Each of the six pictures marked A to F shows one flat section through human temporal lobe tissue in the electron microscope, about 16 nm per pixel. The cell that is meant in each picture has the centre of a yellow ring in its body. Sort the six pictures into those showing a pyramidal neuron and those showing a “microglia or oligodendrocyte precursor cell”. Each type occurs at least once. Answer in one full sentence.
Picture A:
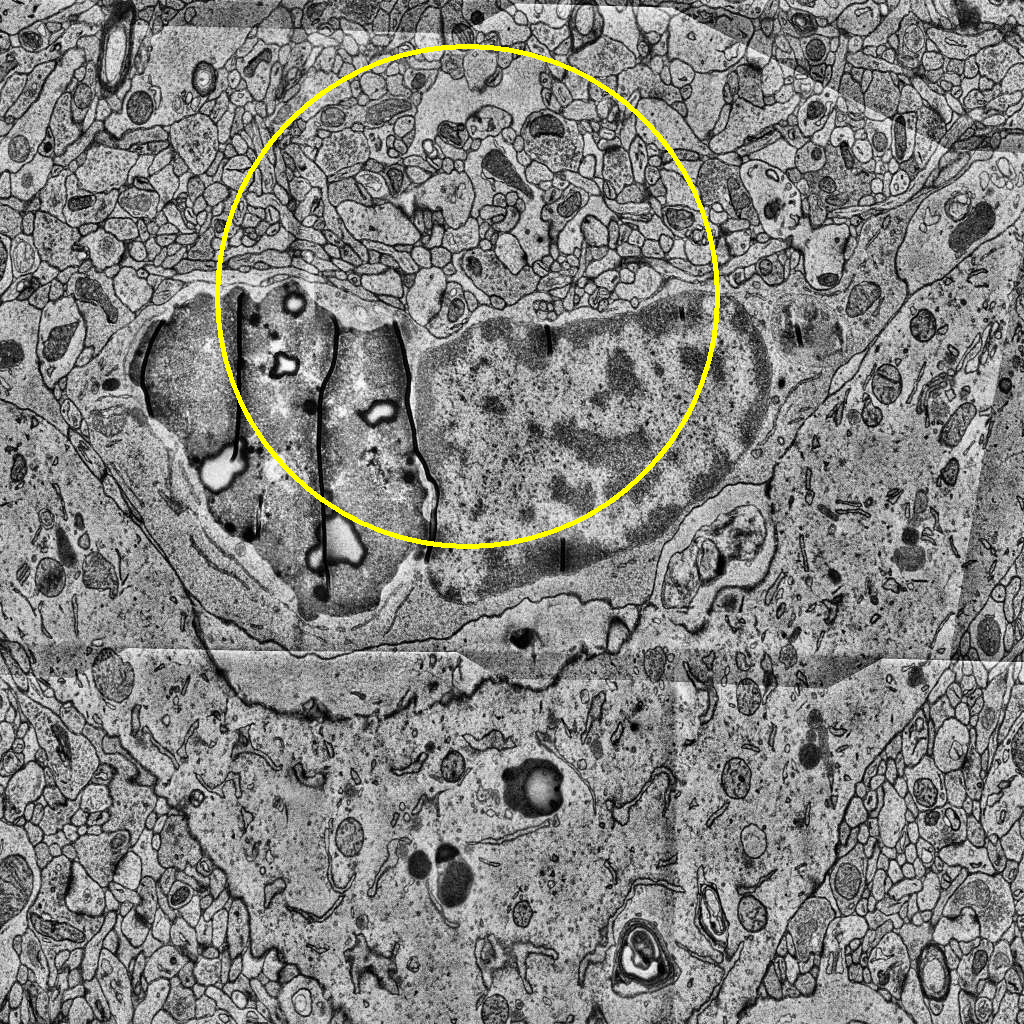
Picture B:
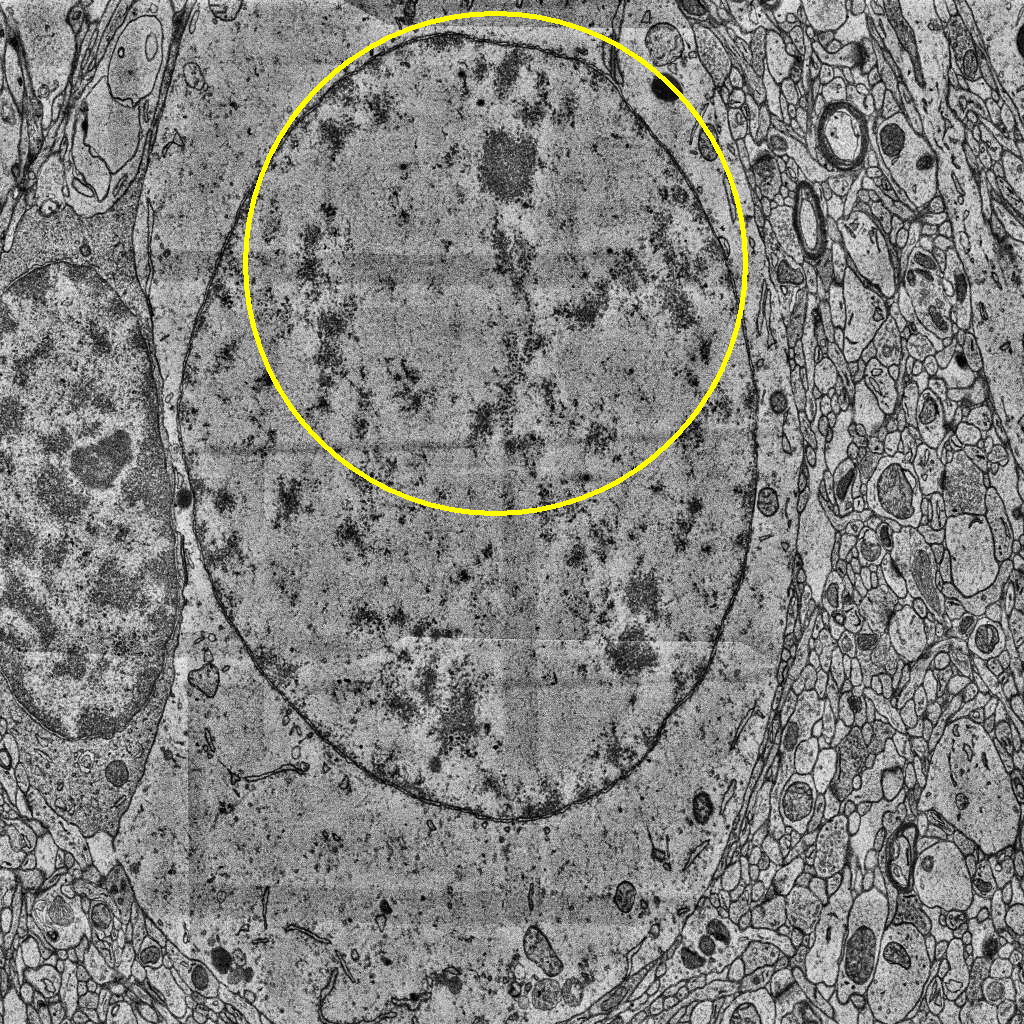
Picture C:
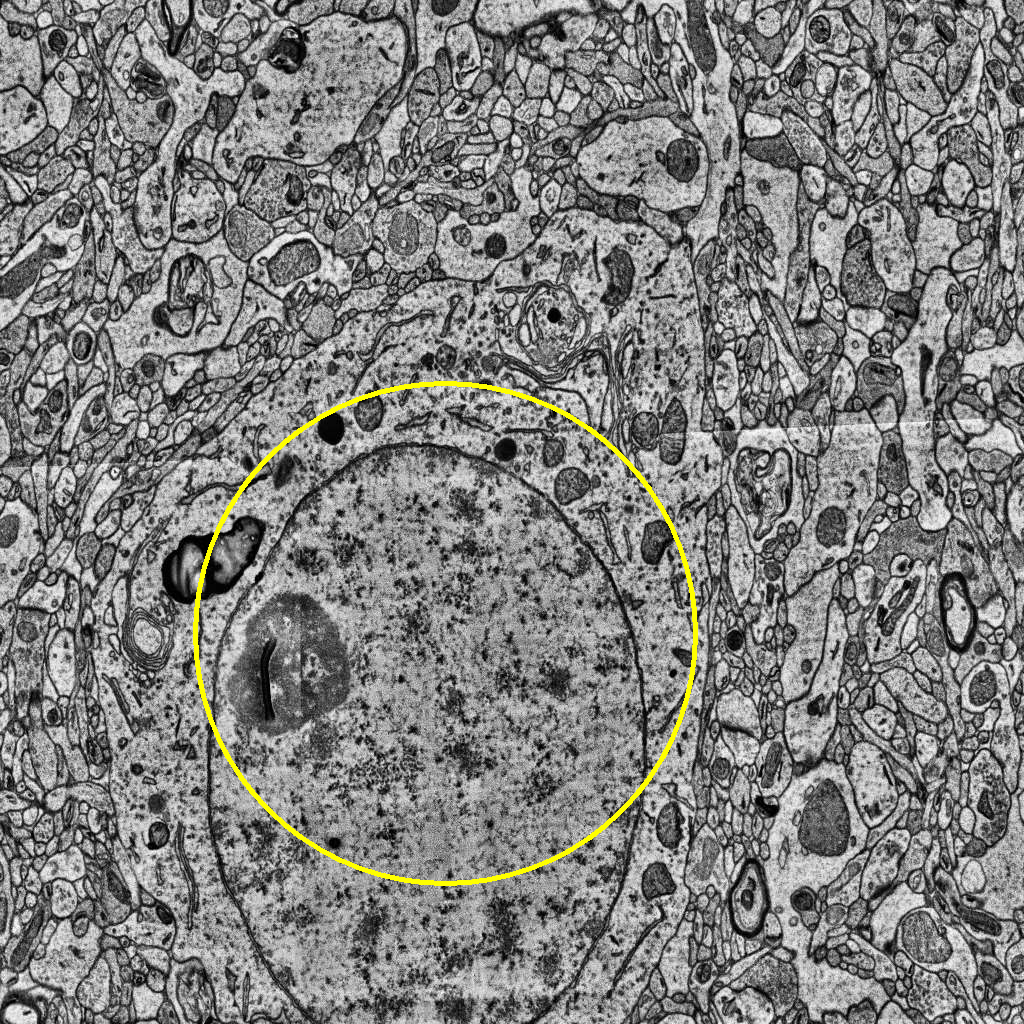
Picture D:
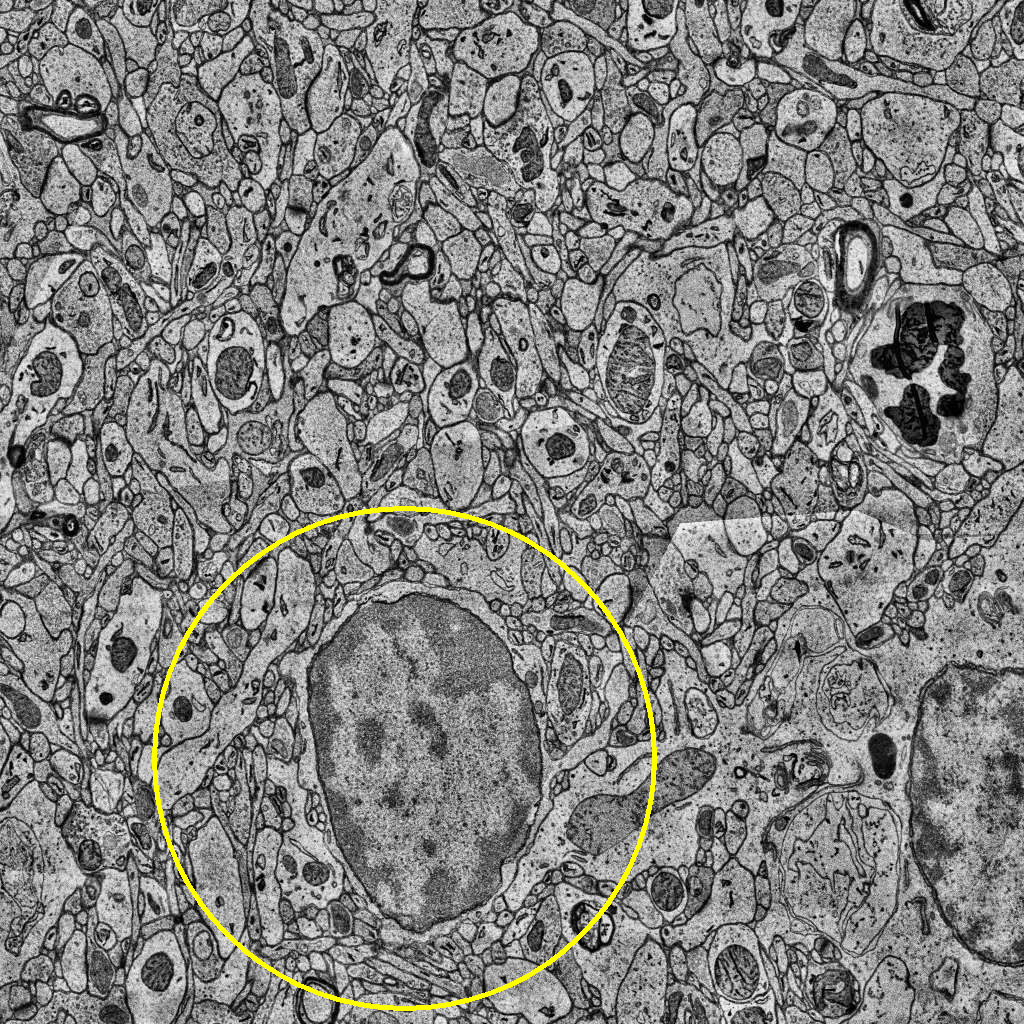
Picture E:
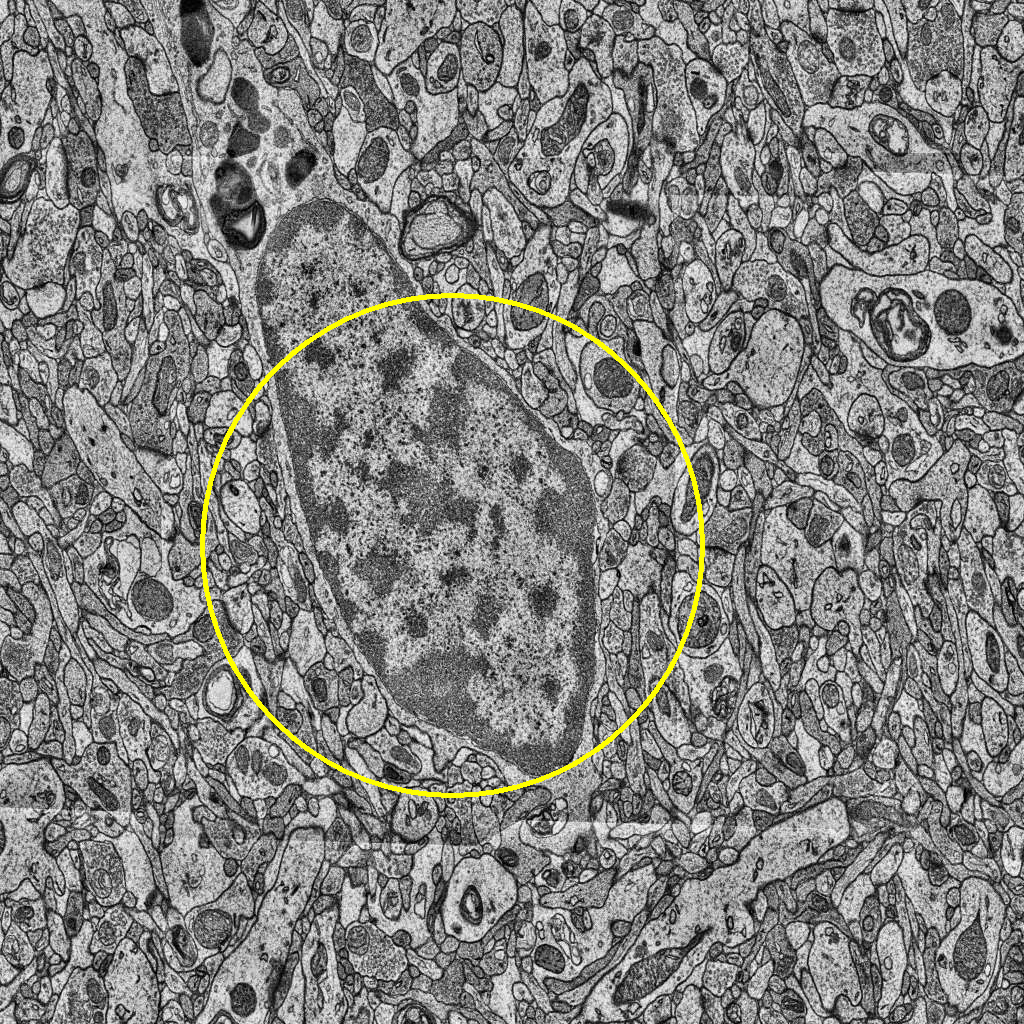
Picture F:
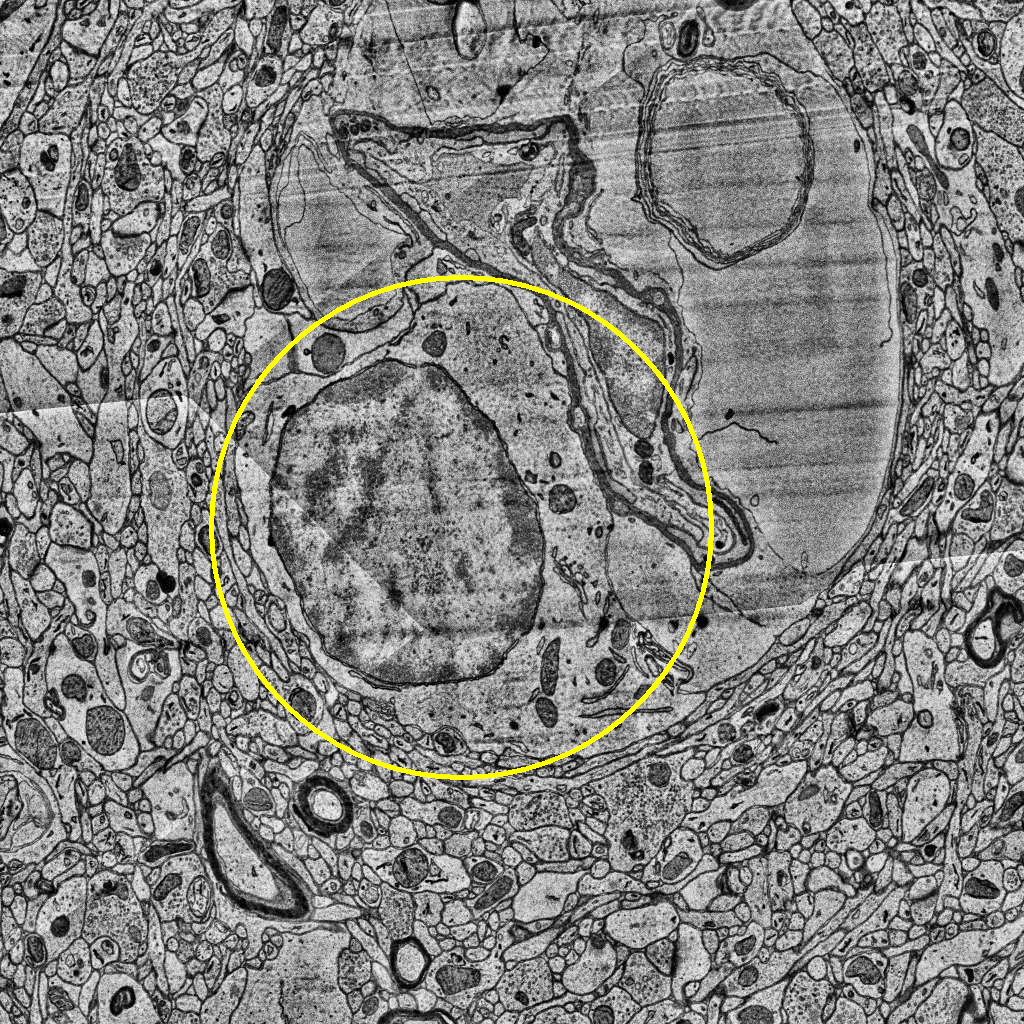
Pictures B and C show pyramidal neurons; pictures A, D, E and F show “microglia or oligodendrocyte precursor cells”.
